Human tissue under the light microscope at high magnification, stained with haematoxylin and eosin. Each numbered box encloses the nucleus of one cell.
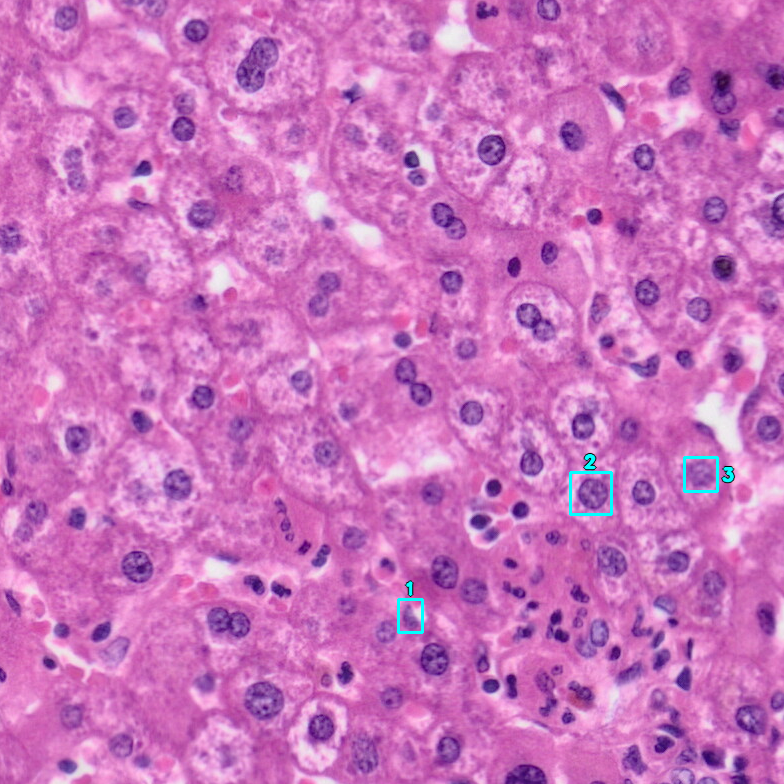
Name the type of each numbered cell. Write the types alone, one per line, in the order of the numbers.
endothelial cell
hepatocyte
hepatocyte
